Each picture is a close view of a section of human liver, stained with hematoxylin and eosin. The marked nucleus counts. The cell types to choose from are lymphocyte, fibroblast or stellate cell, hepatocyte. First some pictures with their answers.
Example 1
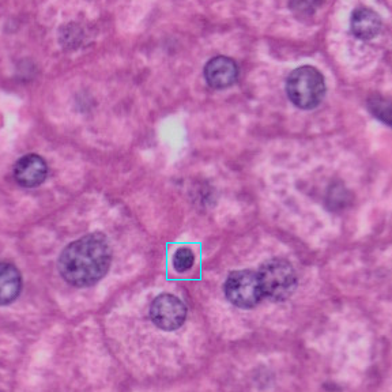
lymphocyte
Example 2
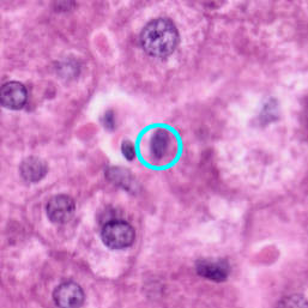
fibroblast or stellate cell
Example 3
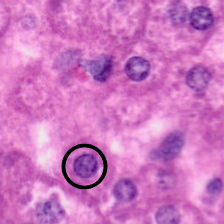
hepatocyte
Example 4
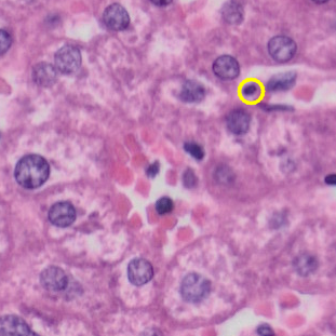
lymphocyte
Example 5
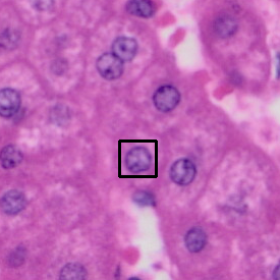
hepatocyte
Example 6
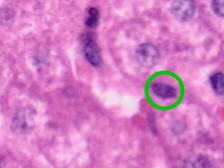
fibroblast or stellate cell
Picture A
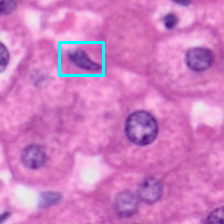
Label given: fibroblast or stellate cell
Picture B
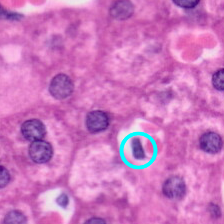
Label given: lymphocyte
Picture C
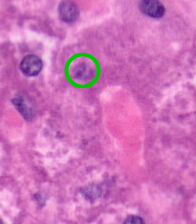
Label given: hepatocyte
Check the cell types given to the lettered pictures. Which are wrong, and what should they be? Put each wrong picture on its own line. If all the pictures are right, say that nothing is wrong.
Nothing to fix; every label fits.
